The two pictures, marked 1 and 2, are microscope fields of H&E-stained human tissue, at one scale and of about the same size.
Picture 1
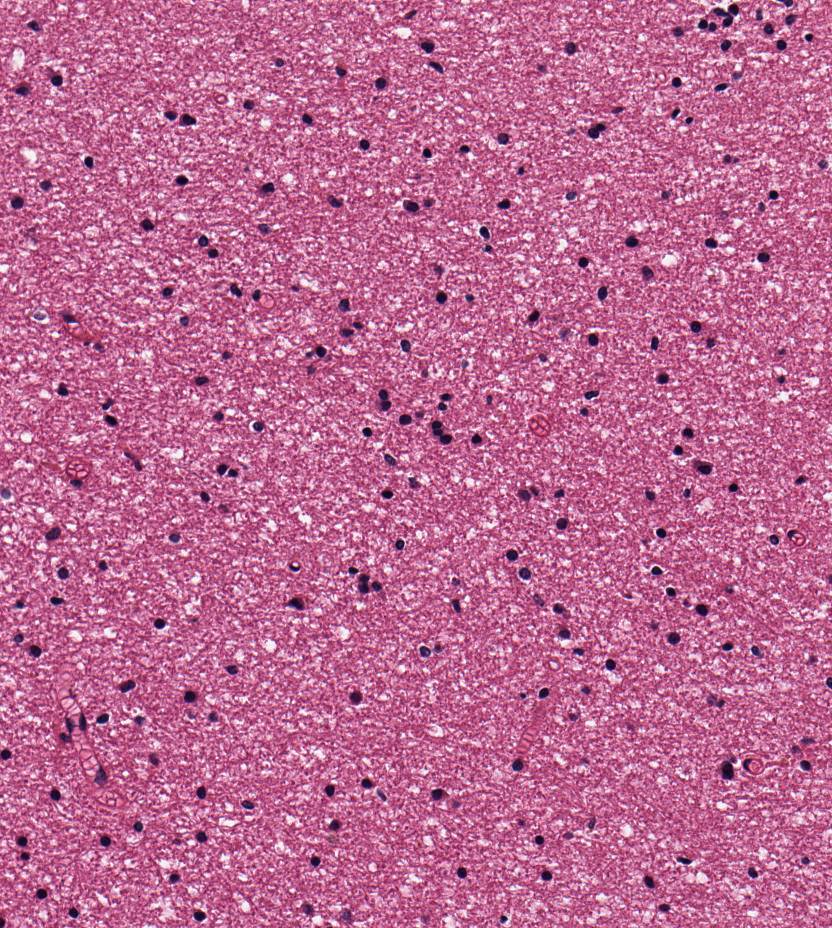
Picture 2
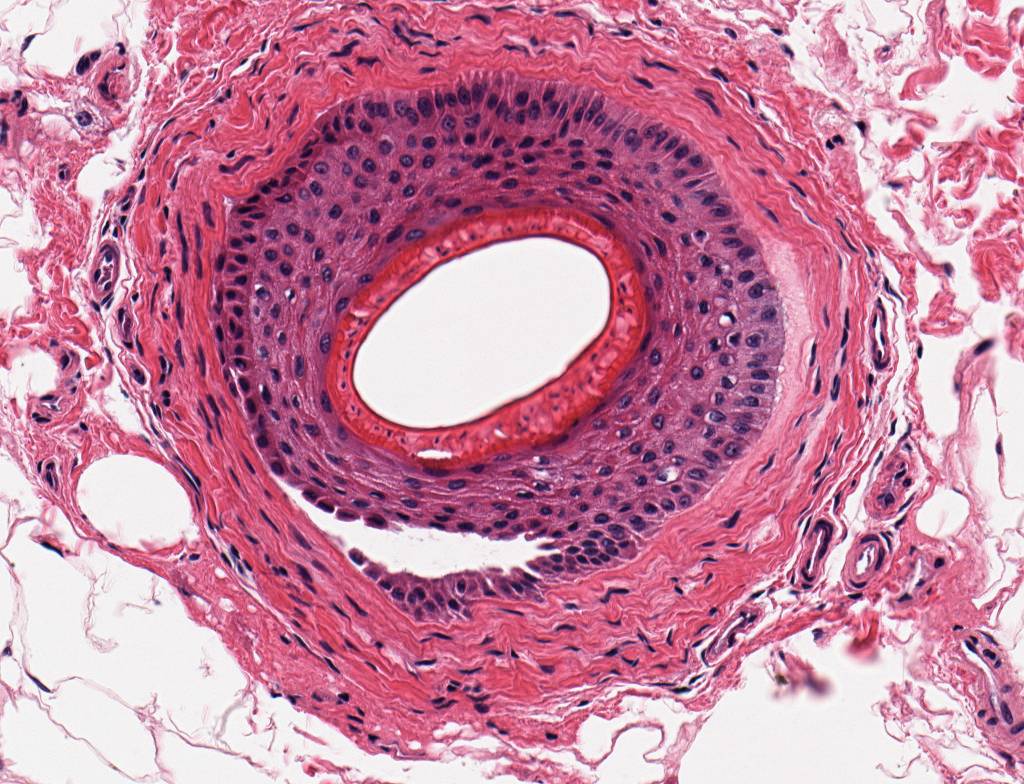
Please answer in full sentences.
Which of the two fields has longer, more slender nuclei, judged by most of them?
Longer, more slender nuclei lie in picture 2.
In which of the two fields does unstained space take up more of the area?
Unstained space takes up more of picture 2 than of picture 1.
